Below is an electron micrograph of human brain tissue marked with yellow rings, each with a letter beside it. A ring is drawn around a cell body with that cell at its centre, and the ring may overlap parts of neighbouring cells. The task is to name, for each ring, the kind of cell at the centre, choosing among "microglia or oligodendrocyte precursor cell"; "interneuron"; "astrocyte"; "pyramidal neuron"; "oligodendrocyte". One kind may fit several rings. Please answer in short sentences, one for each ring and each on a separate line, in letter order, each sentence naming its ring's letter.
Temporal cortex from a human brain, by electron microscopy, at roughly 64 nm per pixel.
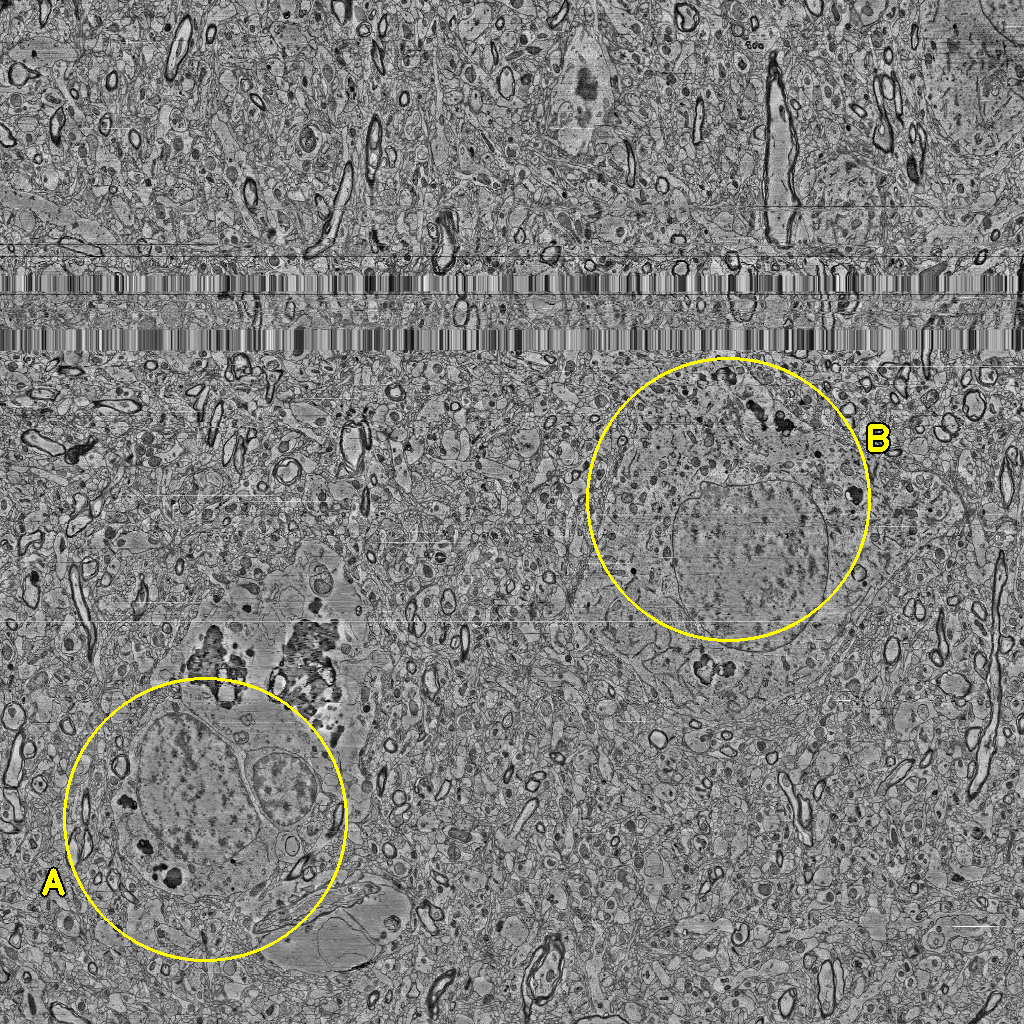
The ring with letter A is centred on an interneuron.
The ring with letter B is centred on a pyramidal neuron.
